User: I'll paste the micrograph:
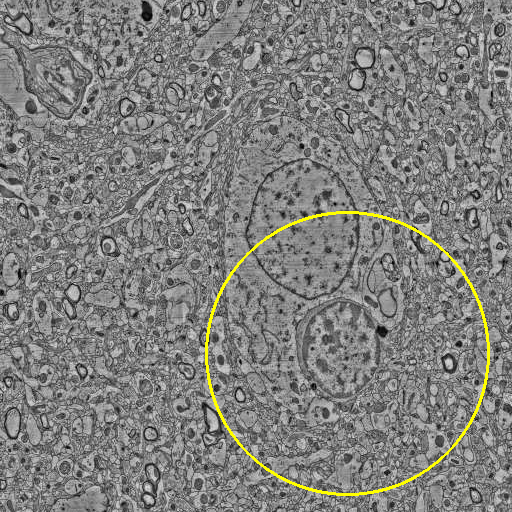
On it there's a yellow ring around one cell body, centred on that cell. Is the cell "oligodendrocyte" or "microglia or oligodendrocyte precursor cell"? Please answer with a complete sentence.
The cell ringed in yellow is an oligodendrocyte.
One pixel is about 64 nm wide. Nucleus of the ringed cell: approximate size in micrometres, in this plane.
In this plane the nucleus is about 6 micrometres by 5.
